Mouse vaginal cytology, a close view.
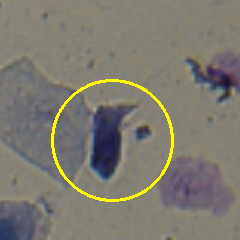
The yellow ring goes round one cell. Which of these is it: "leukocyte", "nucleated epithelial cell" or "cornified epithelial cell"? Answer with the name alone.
cornified epithelial cell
